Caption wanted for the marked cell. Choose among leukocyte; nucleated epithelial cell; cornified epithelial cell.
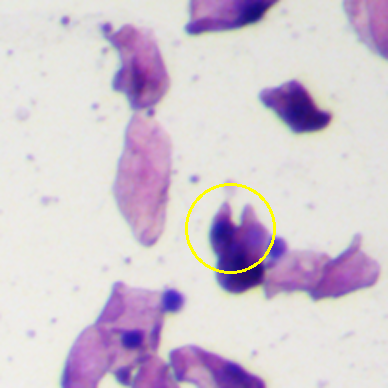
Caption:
Ringed in yellow is a nucleated epithelial cell.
